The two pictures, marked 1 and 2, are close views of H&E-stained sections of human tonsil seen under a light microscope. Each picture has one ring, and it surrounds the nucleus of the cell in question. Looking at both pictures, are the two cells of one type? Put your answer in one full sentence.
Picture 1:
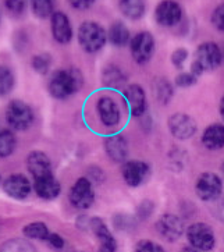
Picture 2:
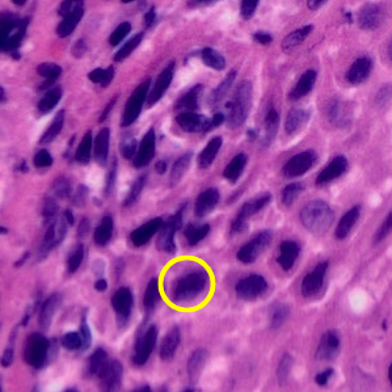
No, picture 1 shows a plasma cell and picture 2 shows a squamous epithelial cell.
